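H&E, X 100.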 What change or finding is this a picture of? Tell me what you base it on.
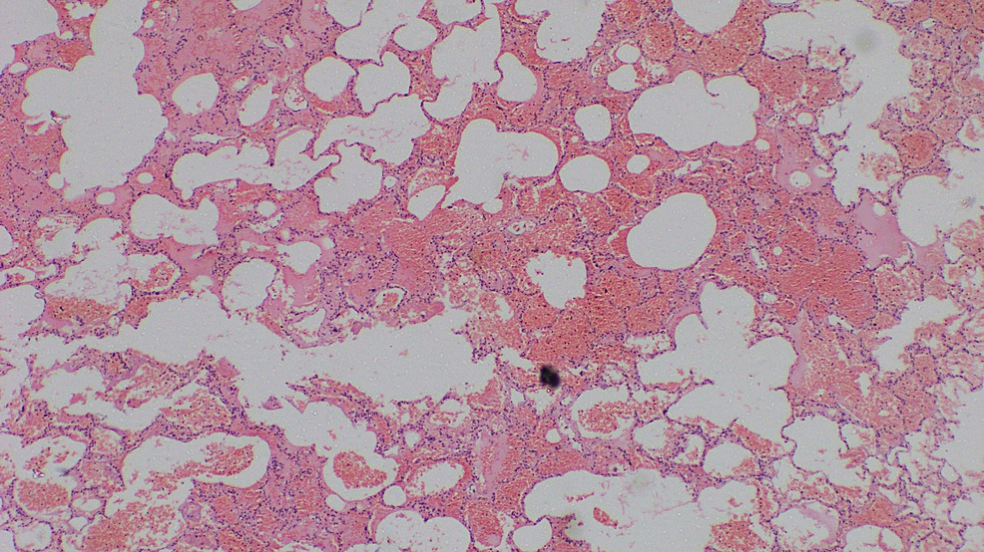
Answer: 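Many air spaces are packed with red, granular masses of red blood cells. Red cell masses lie between and within the thin septa across the field.
Conclusion: alveolar haemorrhage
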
